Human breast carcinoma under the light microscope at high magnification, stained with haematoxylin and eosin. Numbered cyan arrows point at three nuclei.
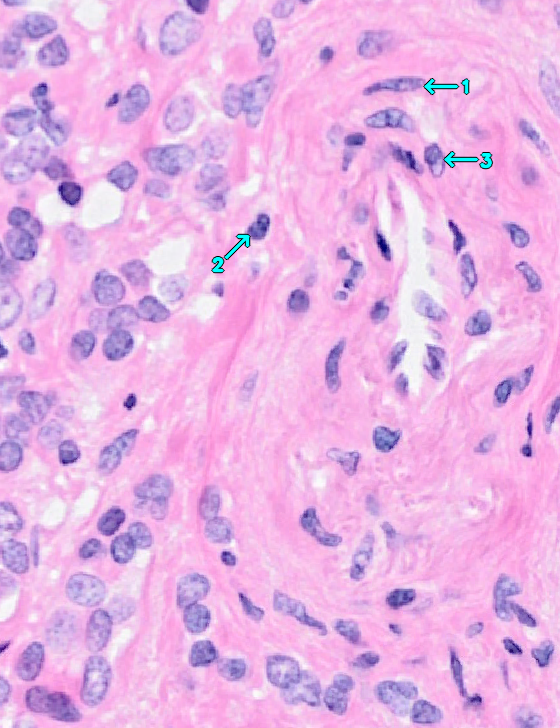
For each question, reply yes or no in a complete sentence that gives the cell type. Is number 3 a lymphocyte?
No, number 3 is assigned to an endothelial cell, not to a lymphocyte.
